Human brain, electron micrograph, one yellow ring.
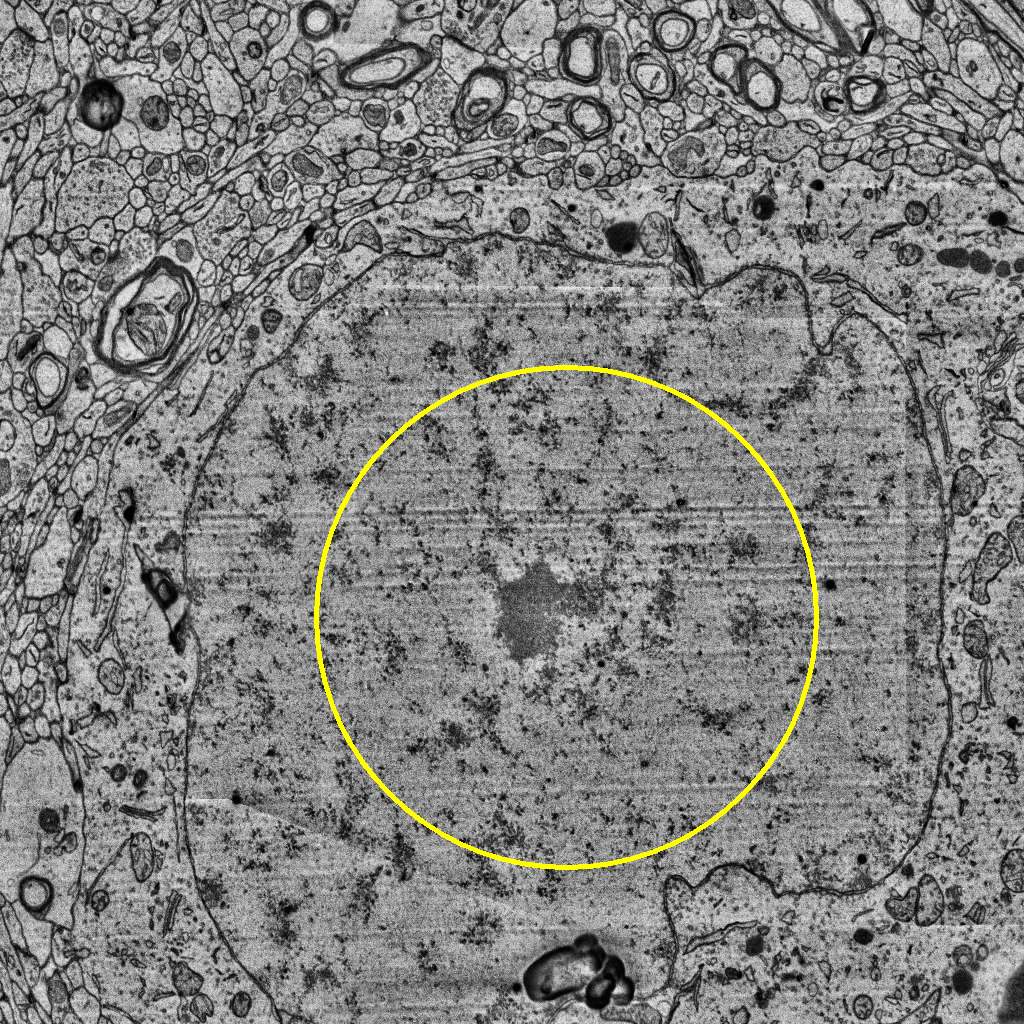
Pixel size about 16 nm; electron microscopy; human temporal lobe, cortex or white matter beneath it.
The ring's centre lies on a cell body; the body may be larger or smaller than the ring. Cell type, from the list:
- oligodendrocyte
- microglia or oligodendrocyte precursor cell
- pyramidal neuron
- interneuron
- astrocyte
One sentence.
The yellow ring's centre lies on a pyramidal neuron.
